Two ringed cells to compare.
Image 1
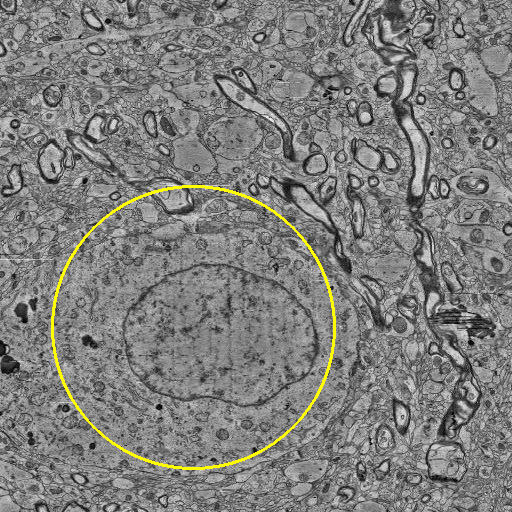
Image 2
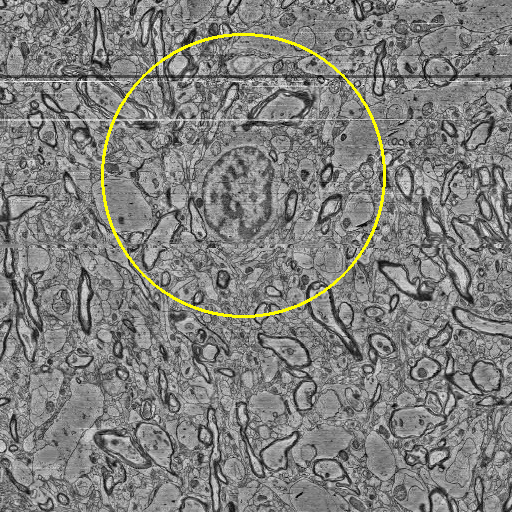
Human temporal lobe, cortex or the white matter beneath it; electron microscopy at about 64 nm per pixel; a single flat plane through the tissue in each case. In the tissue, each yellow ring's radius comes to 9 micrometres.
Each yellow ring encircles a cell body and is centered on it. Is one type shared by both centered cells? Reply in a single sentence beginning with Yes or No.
No, two types are found among the cells at the centers of the rings.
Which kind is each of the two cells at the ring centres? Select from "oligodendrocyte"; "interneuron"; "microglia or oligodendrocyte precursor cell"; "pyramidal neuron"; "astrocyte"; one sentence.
The cell at the centre of the ring is a pyramidal neuron in the first picture and an oligodendrocyte in the second.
